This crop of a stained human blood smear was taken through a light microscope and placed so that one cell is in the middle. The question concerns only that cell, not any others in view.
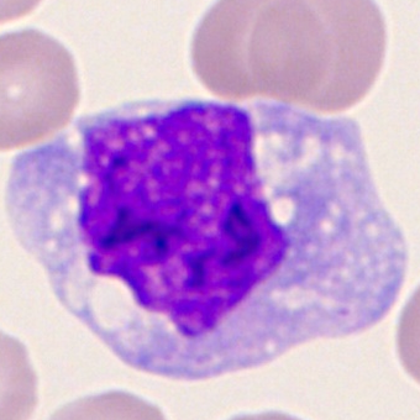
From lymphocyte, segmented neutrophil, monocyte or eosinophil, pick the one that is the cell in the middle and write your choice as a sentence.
The centrally positioned cell in the crop represents a monocyte.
